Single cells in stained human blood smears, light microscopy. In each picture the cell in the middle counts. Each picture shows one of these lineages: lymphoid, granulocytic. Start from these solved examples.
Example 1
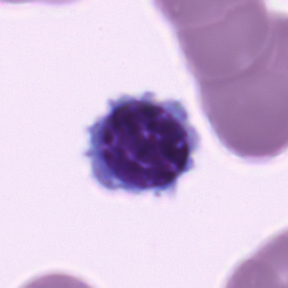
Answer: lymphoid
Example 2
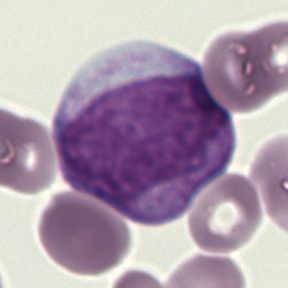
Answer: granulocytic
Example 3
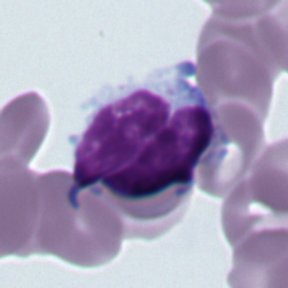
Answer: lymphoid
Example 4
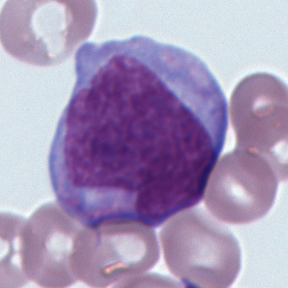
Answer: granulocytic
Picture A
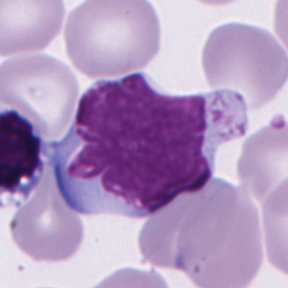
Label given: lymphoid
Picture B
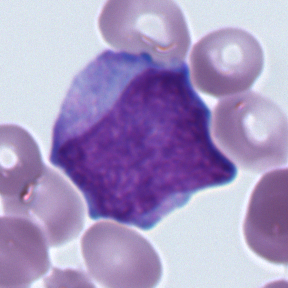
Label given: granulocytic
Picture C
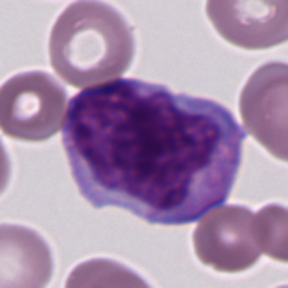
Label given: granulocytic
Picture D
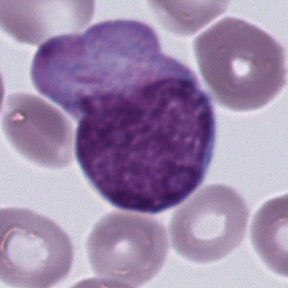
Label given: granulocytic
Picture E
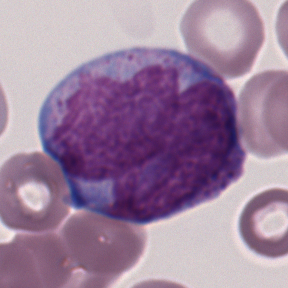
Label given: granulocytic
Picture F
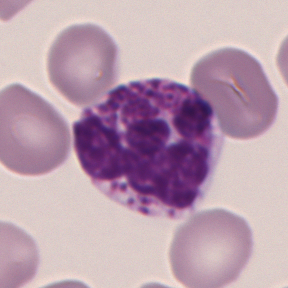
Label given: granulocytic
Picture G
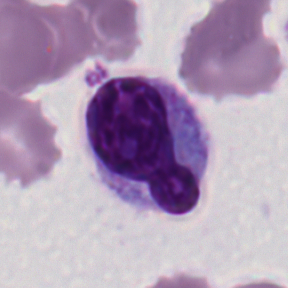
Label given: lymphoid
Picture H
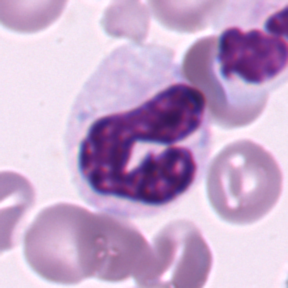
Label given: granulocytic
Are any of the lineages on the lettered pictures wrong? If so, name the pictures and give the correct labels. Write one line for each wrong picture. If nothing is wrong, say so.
Nothing to fix; every label fits.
